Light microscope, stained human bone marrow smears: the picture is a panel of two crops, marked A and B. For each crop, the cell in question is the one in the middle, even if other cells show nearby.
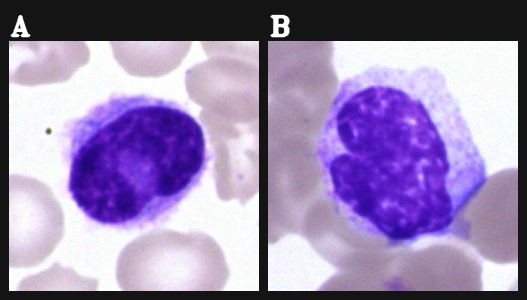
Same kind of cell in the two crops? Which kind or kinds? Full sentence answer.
No, crop A features a hairy cell, and crop B features a monocyte.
